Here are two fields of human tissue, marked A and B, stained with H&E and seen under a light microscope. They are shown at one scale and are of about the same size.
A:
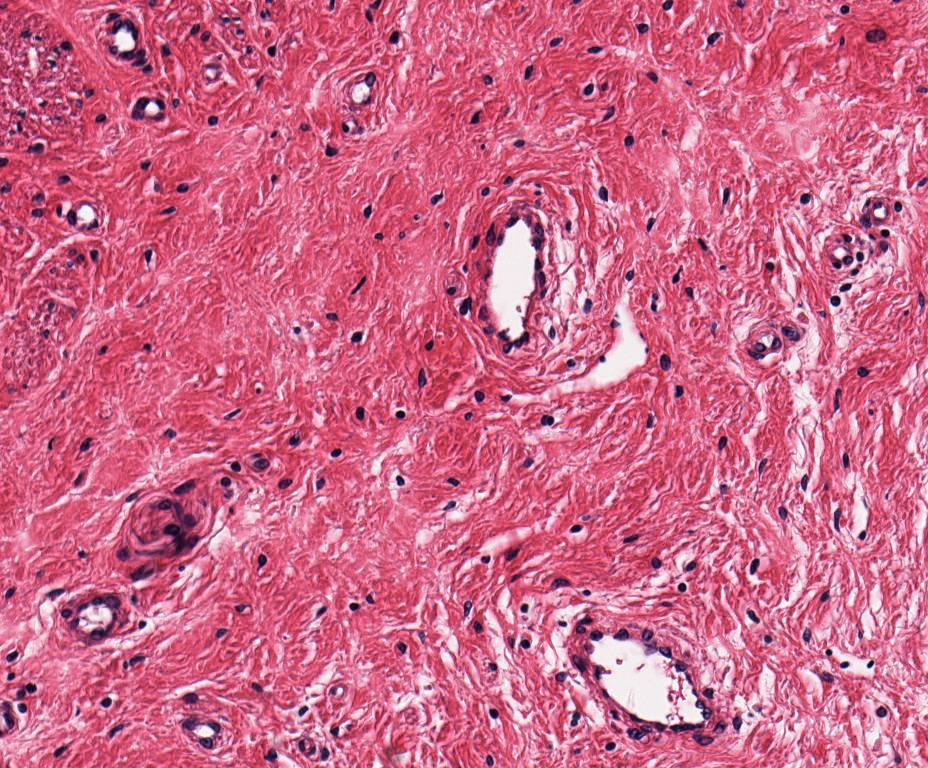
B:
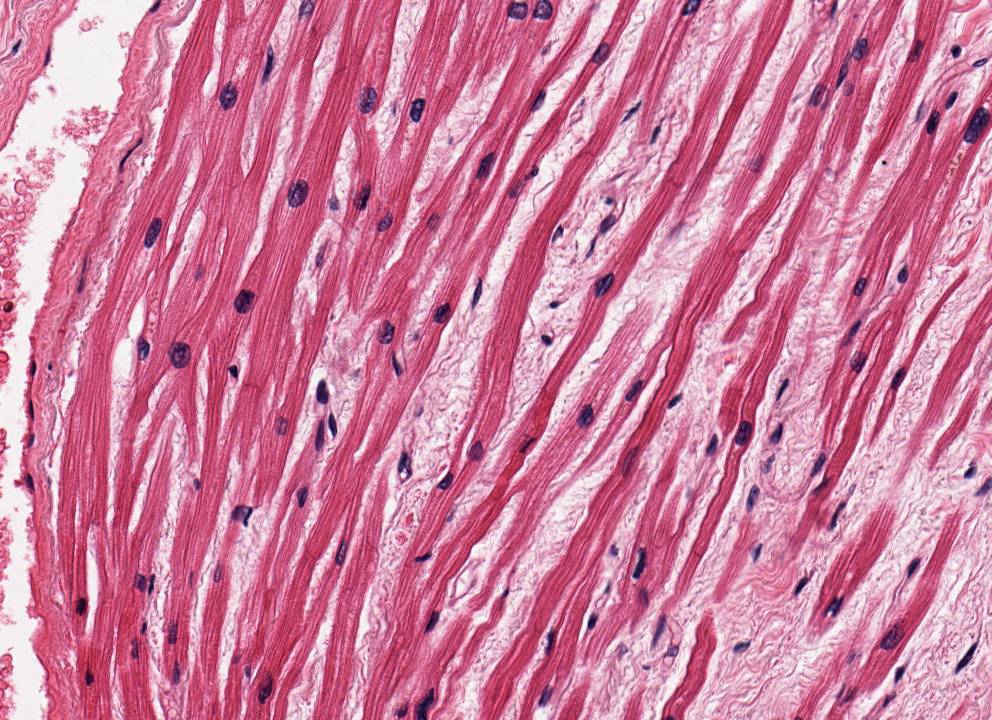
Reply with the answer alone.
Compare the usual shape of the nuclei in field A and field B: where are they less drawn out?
A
